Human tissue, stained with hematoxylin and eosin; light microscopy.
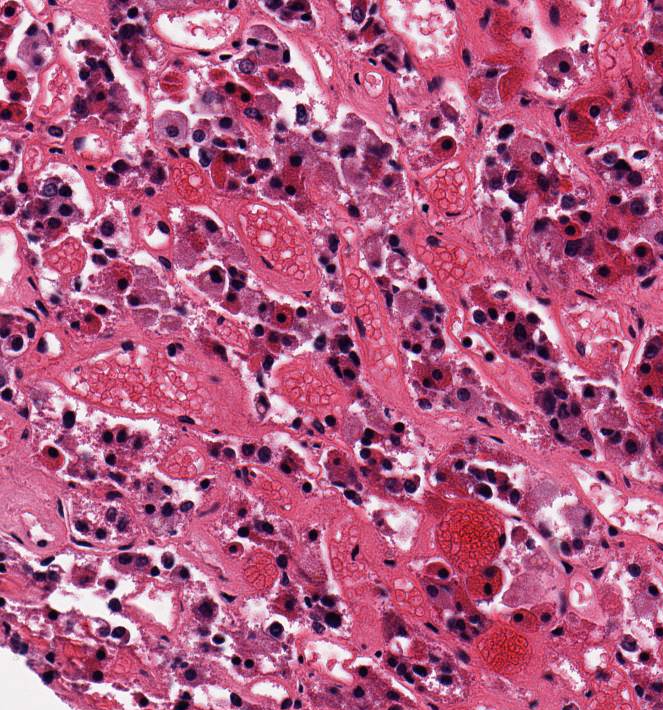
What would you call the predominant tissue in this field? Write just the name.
pars distalis of the pituitary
